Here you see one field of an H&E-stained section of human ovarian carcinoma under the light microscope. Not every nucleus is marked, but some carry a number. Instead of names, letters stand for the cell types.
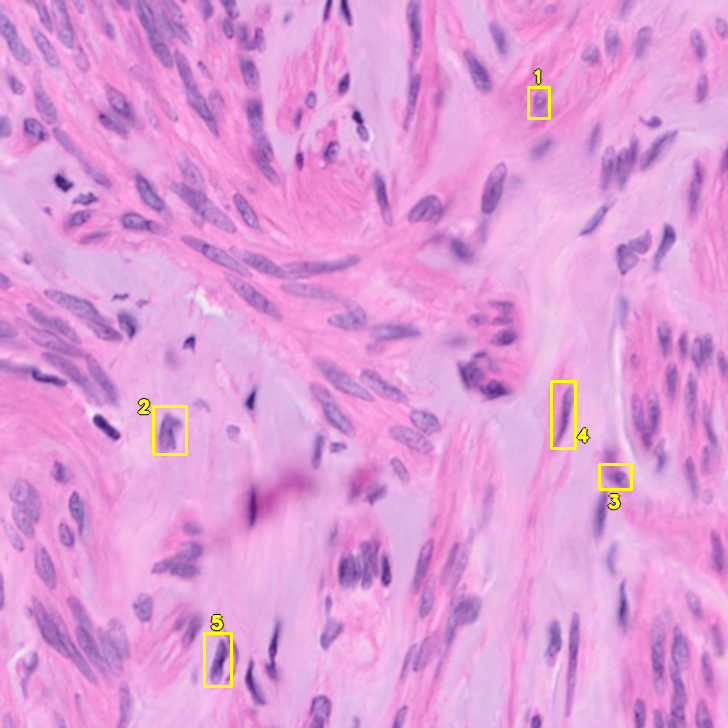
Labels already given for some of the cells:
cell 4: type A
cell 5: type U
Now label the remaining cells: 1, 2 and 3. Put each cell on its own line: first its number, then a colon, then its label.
1: type A
2: type U
3: type A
